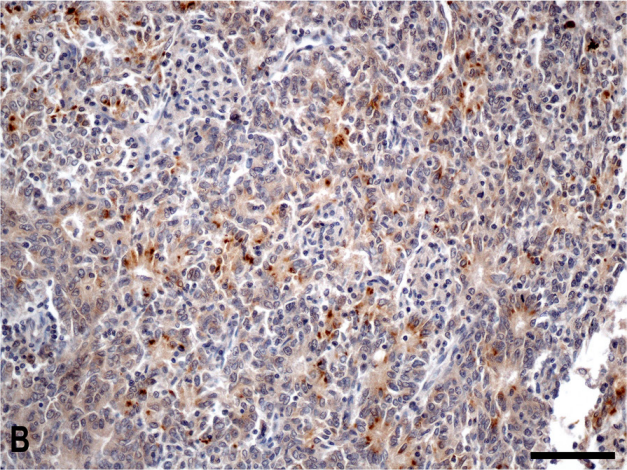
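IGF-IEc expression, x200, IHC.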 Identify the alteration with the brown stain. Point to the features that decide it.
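Faint brown cytoplasm across many tumour cells. Scattered small, darker brown dots and clumps within cytoplasm. On this evidence: Diffuse and dot-like cytoplasmic staining pattern.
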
